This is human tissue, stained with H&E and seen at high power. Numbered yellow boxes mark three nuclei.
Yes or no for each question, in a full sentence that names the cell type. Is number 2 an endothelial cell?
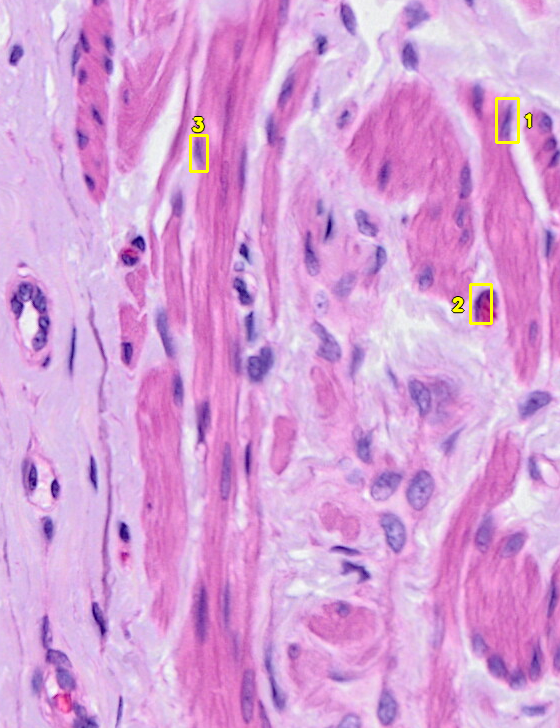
Yes, the cell identified as number 2 is an endothelial cell.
